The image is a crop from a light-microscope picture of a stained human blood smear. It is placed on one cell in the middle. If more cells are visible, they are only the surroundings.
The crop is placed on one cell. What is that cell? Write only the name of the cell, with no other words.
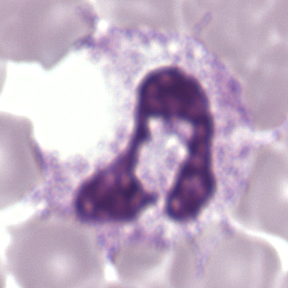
neutrophil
